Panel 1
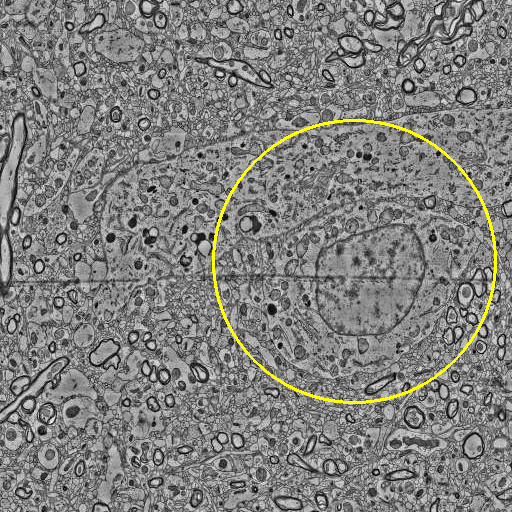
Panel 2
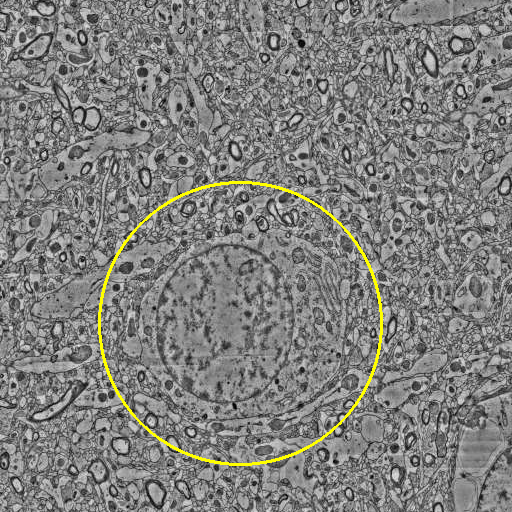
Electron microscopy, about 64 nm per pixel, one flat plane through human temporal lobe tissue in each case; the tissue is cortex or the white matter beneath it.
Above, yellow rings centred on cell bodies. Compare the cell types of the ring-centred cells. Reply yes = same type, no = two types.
yes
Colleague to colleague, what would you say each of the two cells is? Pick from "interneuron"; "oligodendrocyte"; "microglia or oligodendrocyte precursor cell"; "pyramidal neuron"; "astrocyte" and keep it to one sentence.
Each of the two pictures has an interneuron at the ring centre.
